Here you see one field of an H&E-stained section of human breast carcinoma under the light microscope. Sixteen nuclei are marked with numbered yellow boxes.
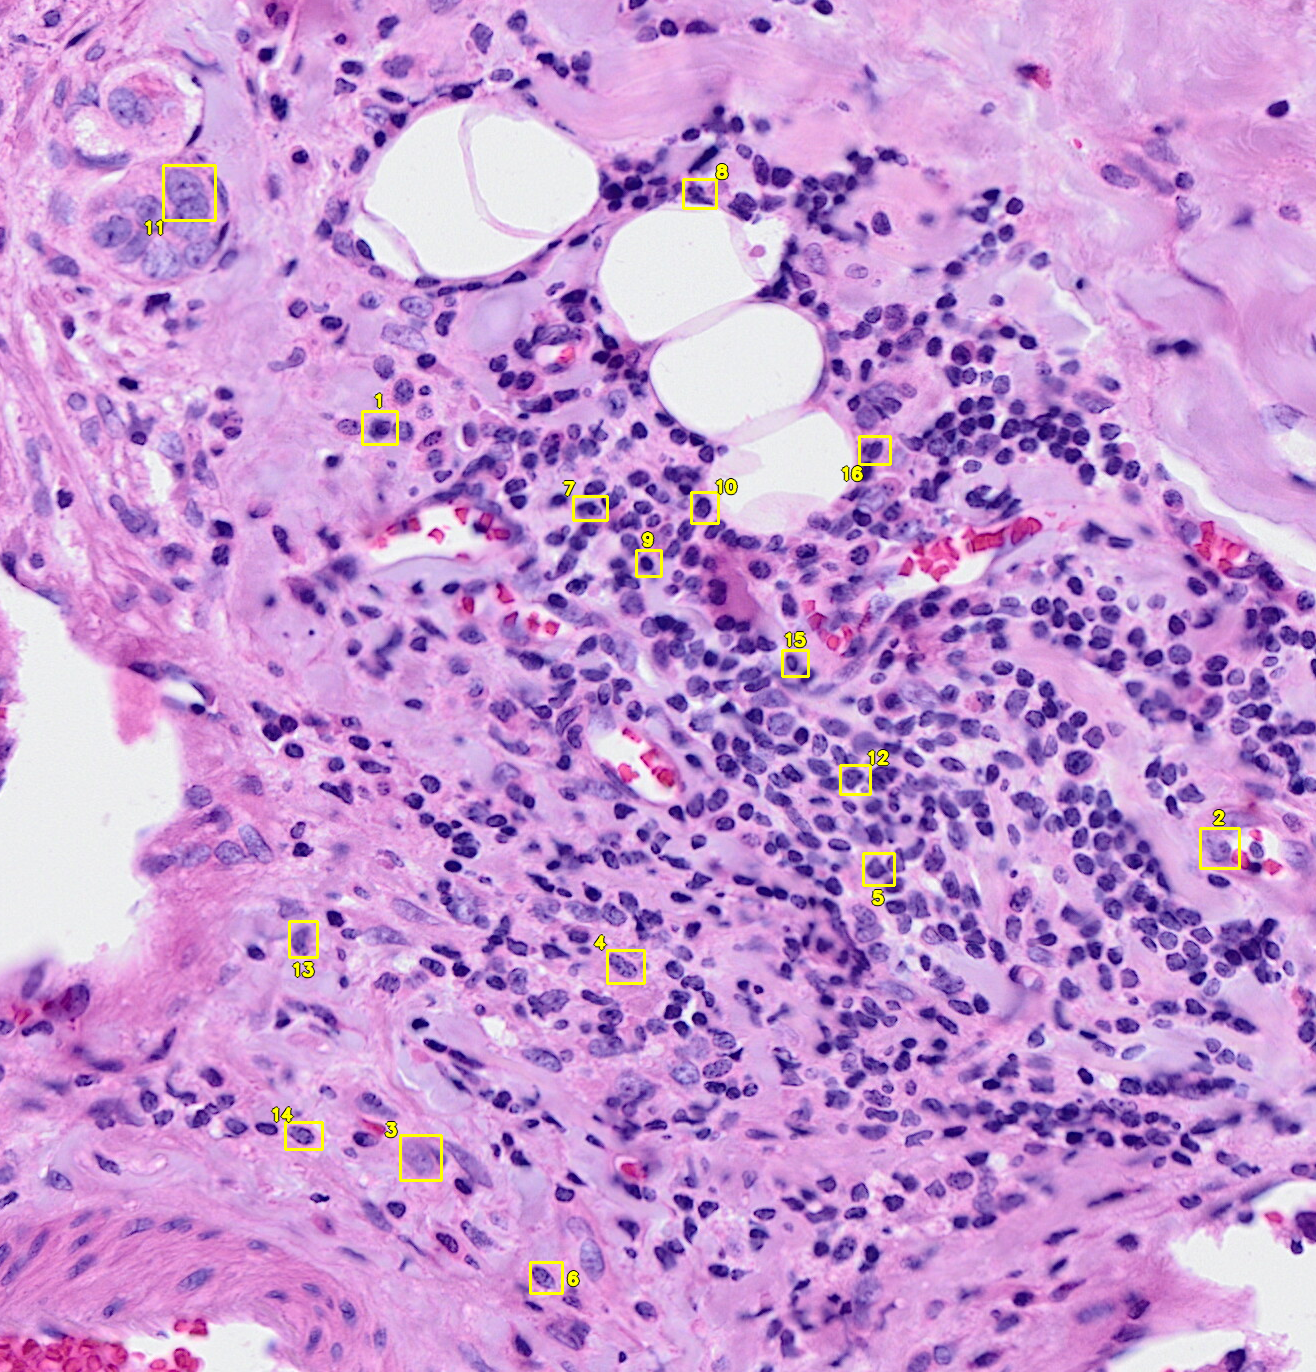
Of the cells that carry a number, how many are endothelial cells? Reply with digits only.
2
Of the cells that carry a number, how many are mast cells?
4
